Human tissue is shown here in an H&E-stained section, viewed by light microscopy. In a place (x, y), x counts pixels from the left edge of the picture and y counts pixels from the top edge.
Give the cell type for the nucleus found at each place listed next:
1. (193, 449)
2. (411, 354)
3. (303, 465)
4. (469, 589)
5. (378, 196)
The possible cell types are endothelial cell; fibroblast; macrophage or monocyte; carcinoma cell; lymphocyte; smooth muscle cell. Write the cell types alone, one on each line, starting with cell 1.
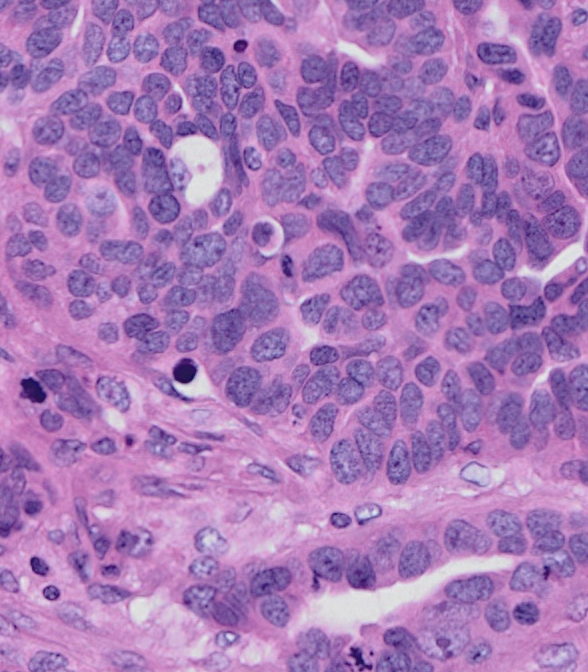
fibroblast
carcinoma cell
fibroblast
carcinoma cell
carcinoma cell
